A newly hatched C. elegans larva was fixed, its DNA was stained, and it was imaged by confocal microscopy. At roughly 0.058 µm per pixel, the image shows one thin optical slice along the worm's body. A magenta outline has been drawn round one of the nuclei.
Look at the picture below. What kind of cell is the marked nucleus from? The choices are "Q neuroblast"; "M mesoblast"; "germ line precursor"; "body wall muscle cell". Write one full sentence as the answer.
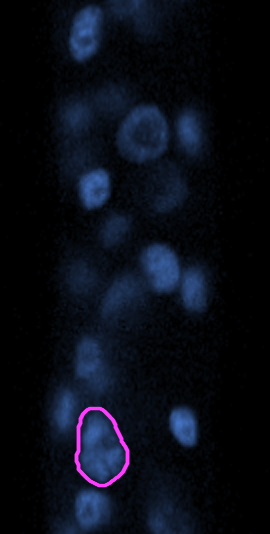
What is marked is the nucleus of a germ line precursor.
